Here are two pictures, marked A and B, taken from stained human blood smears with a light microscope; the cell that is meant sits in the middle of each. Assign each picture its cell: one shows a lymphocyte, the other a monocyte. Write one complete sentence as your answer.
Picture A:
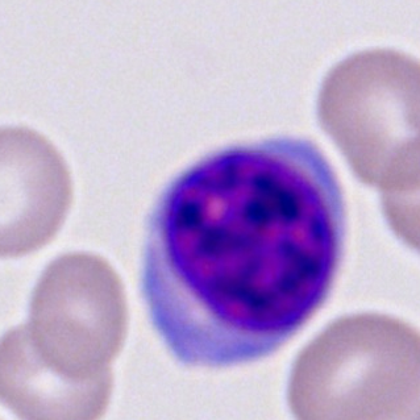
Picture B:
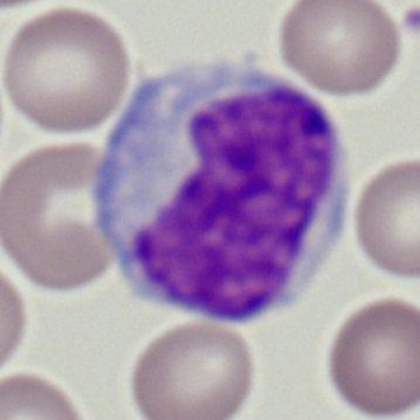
It is picture A that shows a lymphocyte, and picture B that shows a monocyte.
